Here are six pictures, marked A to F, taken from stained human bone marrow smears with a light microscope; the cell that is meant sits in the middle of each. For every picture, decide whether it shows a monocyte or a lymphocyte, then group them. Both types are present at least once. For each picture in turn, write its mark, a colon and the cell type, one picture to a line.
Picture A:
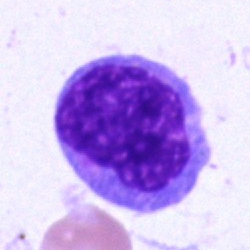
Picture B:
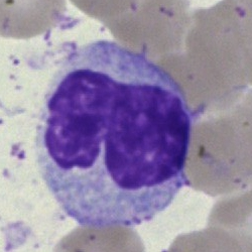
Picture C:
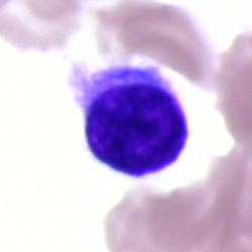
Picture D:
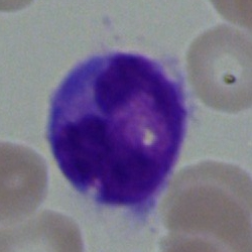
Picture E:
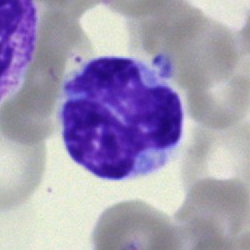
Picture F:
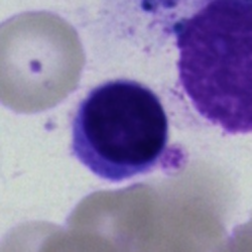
A: monocyte
B: monocyte
C: lymphocyte
D: monocyte
E: monocyte
F: lymphocyte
